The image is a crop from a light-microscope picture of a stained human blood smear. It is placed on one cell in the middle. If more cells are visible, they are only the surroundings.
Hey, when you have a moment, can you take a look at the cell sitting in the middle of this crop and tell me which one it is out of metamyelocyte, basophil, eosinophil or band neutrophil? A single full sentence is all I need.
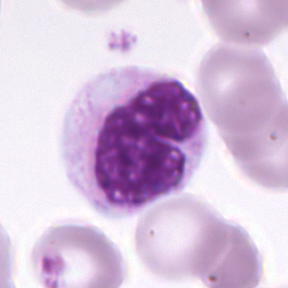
In the central position of this crop, the cell is a band neutrophil.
